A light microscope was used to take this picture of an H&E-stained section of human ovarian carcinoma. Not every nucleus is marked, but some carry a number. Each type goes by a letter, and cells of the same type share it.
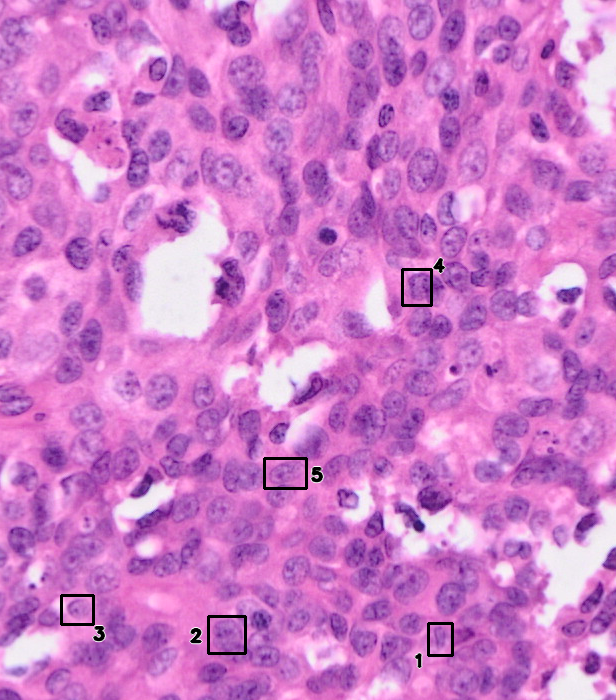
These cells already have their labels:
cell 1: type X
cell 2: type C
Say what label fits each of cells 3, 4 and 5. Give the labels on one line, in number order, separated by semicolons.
type X; type C; type C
